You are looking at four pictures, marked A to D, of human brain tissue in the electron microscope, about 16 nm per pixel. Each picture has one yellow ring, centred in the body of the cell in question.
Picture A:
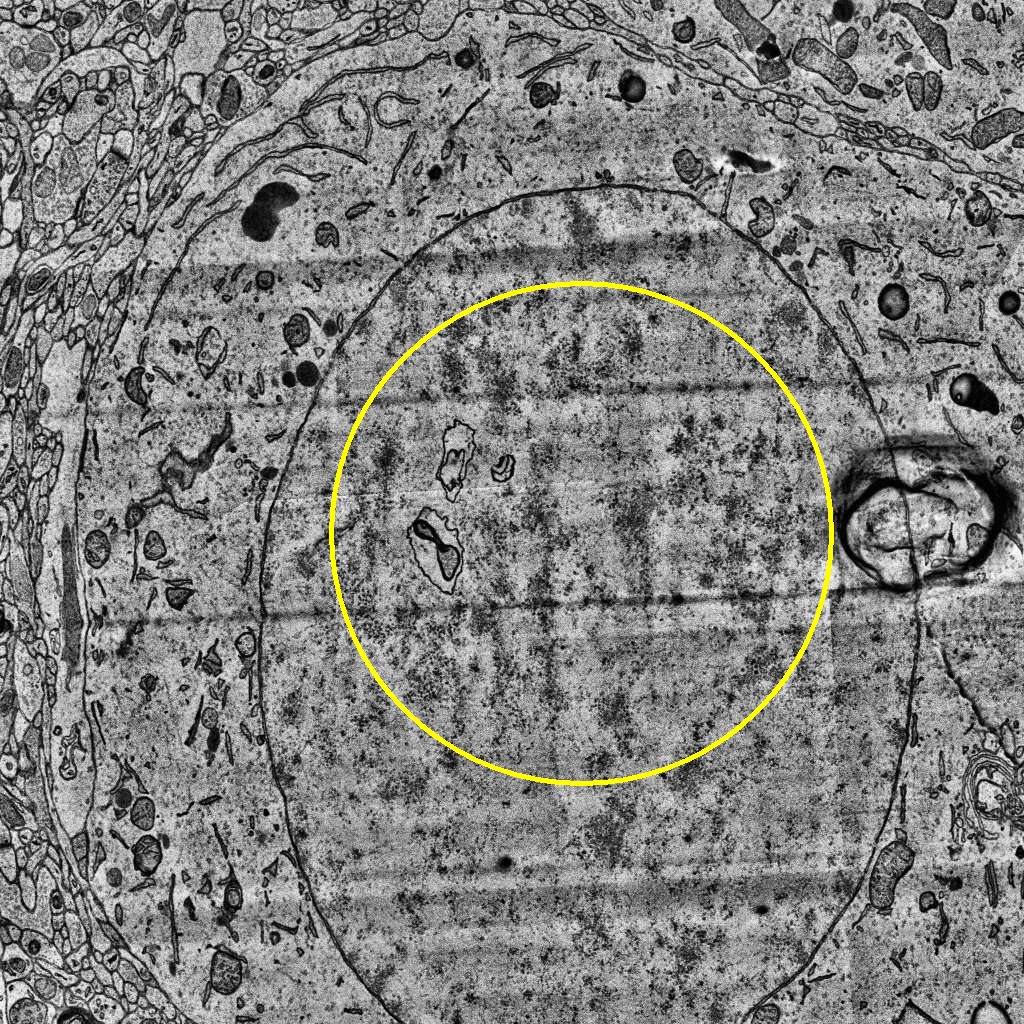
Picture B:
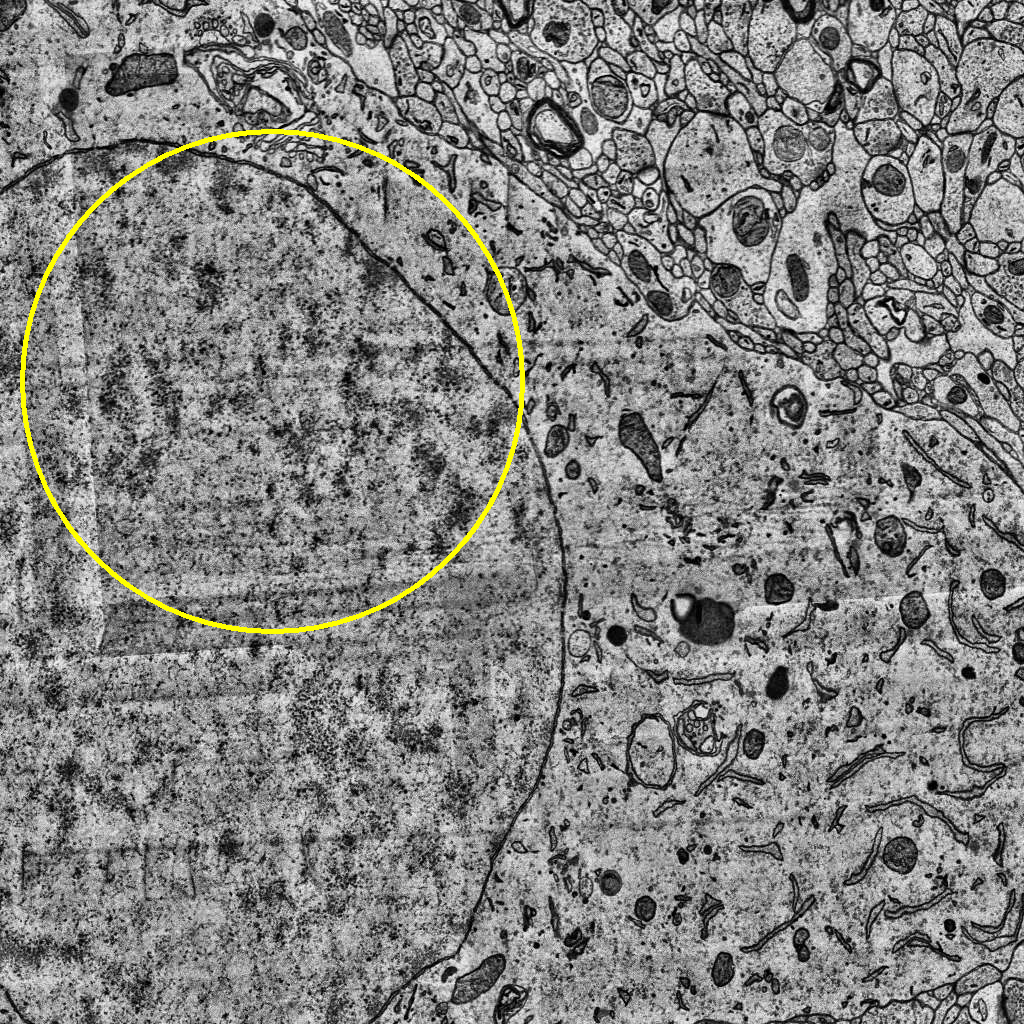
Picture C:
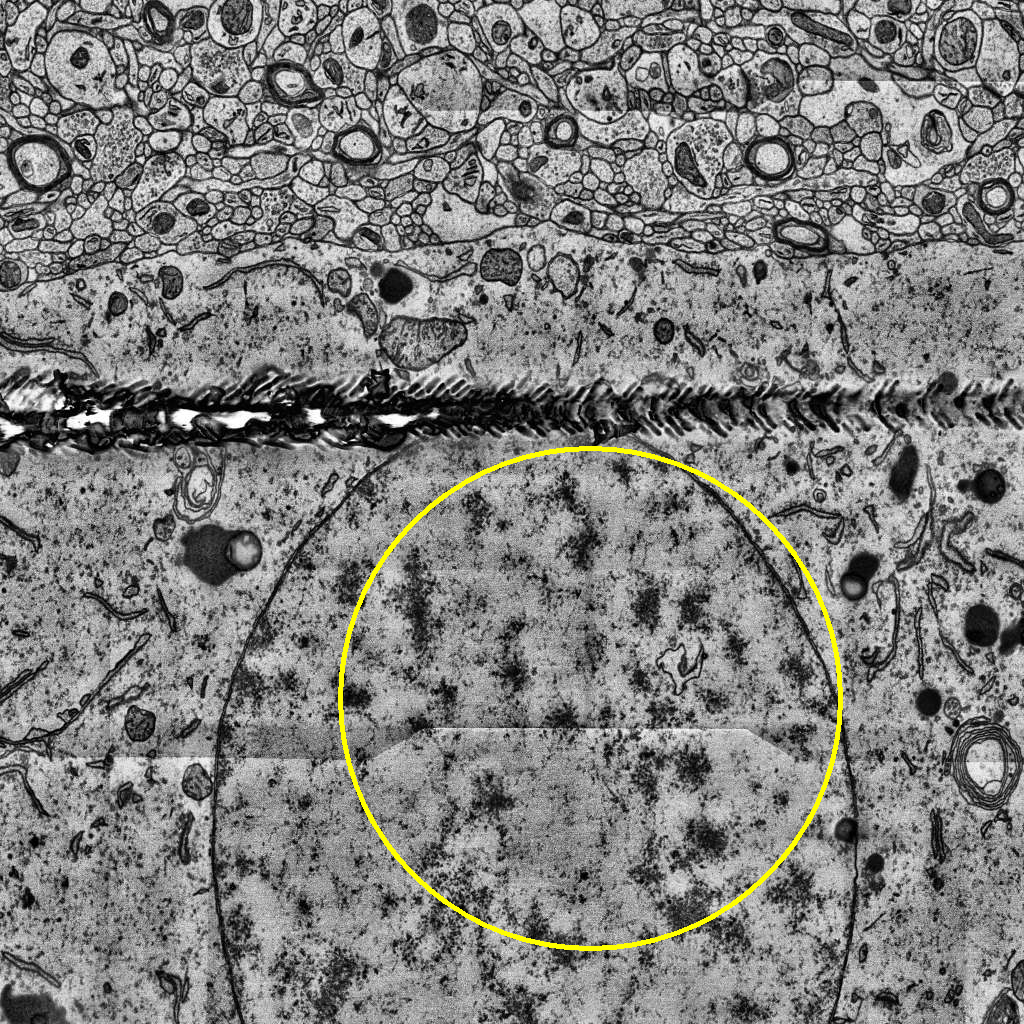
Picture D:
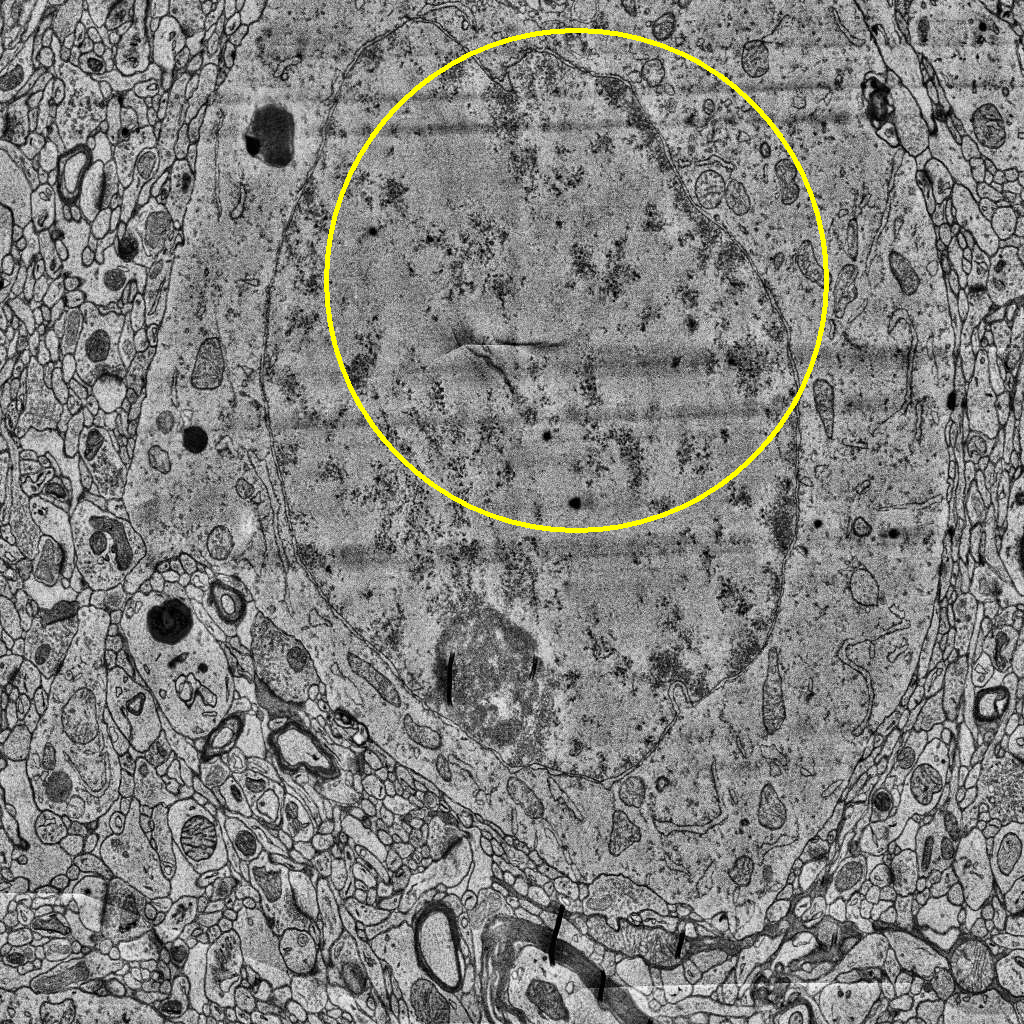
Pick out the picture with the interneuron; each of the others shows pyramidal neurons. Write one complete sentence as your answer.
Picture D shows the interneuron.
